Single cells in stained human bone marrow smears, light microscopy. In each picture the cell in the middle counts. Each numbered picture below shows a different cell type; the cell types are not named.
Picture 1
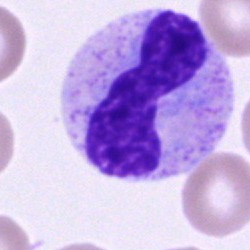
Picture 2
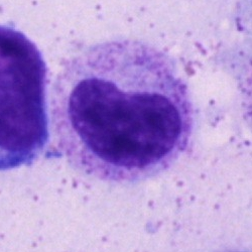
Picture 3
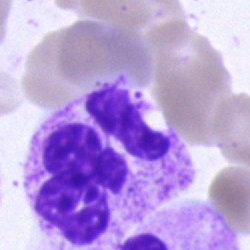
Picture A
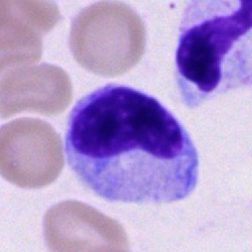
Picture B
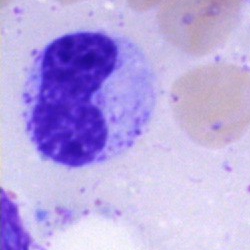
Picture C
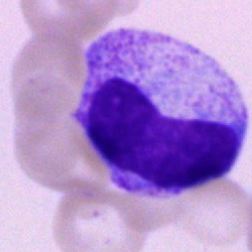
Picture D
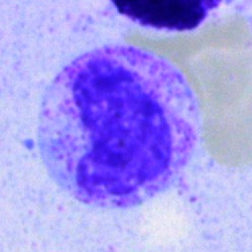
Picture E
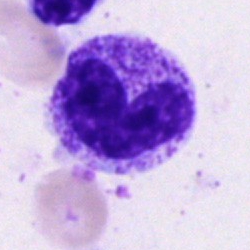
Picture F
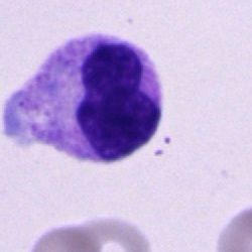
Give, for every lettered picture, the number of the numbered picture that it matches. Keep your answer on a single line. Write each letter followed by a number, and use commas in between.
A 2, B 2, C 2, D 2, E 1, F 2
